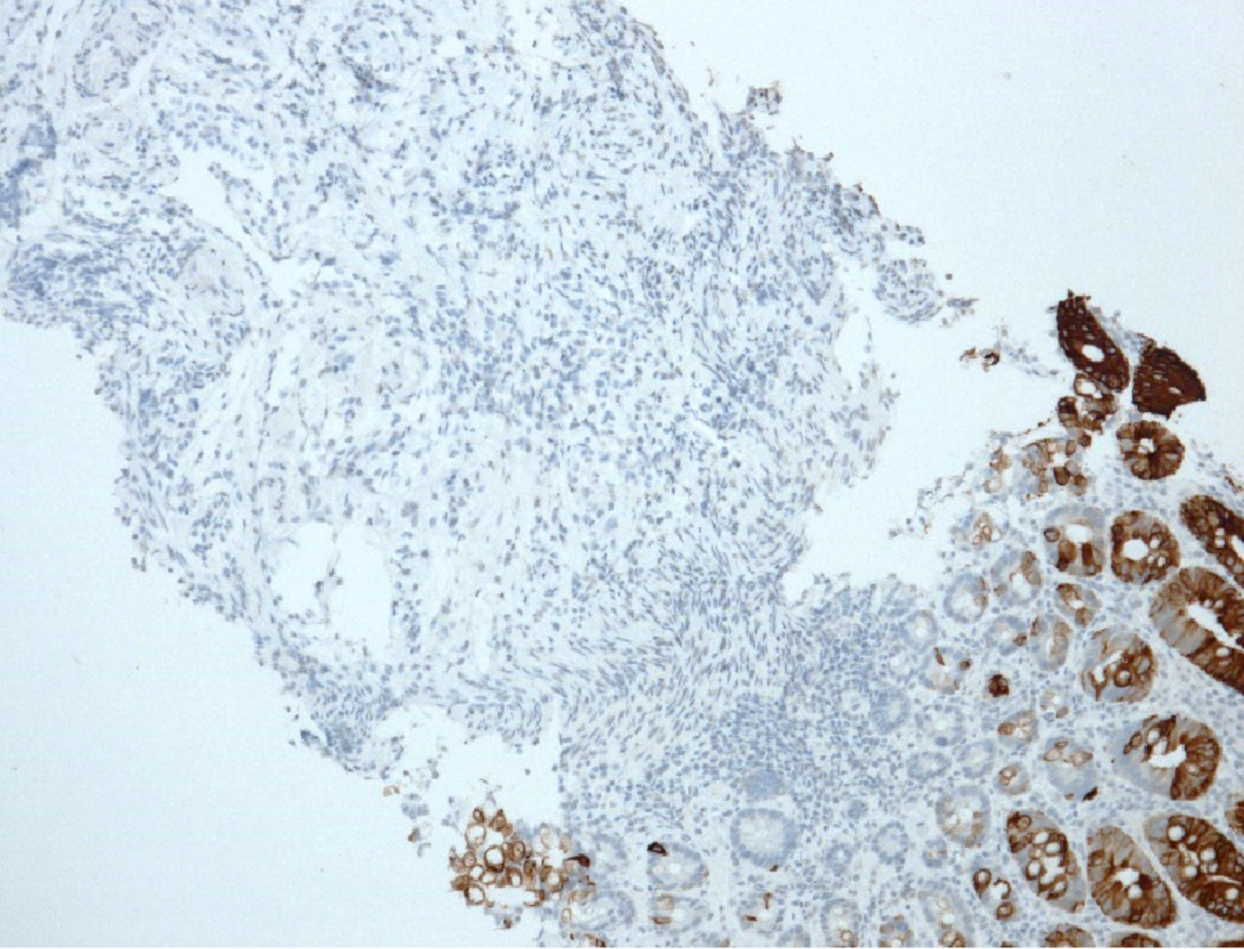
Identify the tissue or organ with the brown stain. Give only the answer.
Colonic epithelium.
